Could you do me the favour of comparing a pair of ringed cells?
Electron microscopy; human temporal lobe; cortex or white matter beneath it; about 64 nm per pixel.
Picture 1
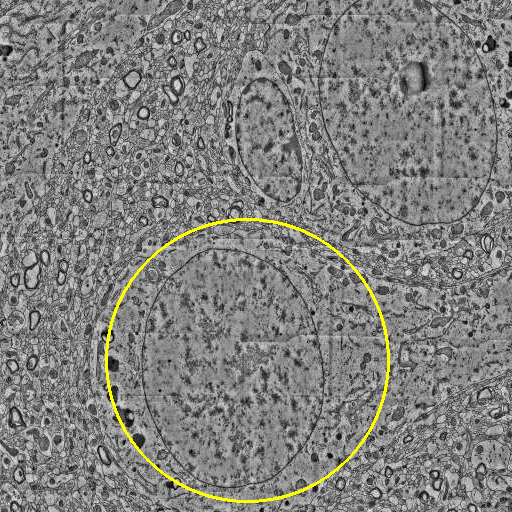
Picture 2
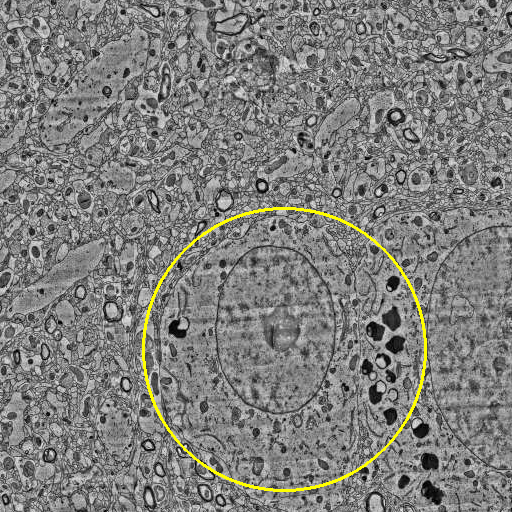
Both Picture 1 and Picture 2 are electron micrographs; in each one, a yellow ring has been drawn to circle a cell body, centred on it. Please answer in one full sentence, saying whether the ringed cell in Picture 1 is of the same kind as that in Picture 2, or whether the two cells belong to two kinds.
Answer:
The ringed cell in Picture 1 is of the same kind as that in Picture 2.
